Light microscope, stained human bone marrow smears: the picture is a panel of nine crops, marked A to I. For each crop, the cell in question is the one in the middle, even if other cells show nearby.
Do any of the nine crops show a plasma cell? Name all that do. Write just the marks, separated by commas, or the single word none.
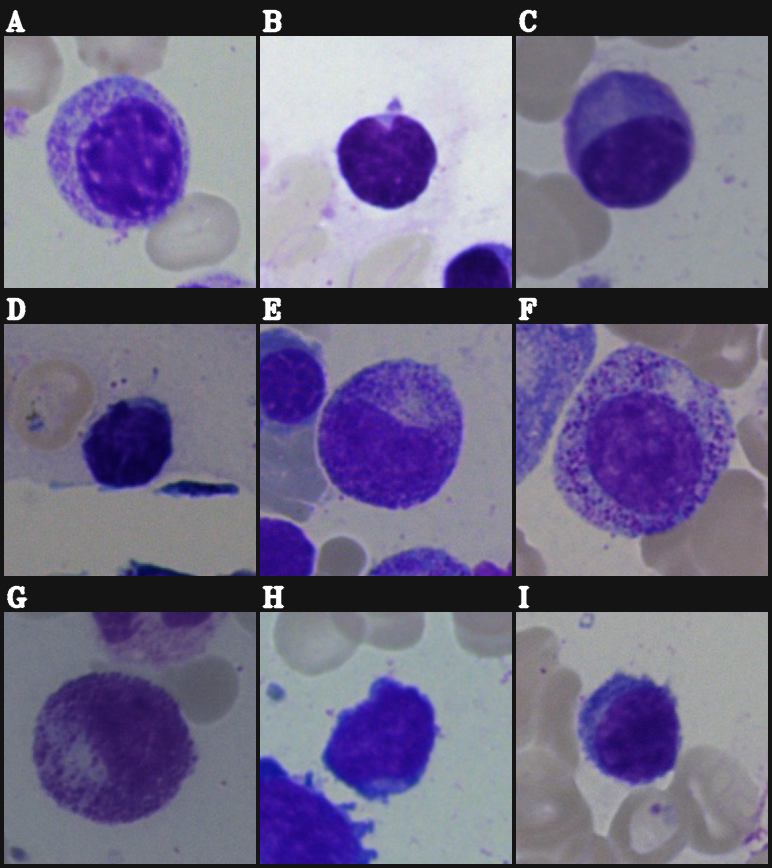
C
